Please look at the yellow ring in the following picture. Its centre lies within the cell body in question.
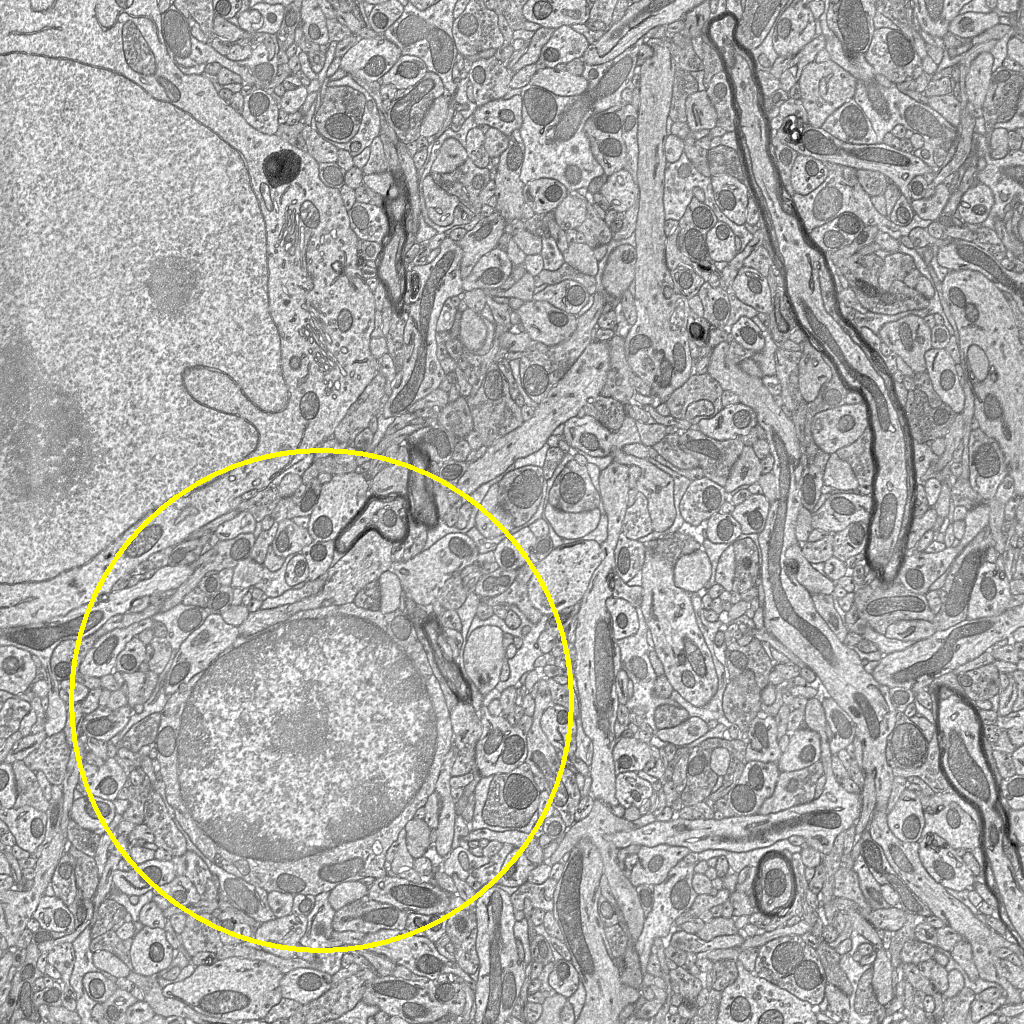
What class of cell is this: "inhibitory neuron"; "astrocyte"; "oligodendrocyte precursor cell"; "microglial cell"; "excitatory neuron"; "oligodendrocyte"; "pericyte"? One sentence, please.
The centre of the ring lies in the cell body of an oligodendrocyte.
